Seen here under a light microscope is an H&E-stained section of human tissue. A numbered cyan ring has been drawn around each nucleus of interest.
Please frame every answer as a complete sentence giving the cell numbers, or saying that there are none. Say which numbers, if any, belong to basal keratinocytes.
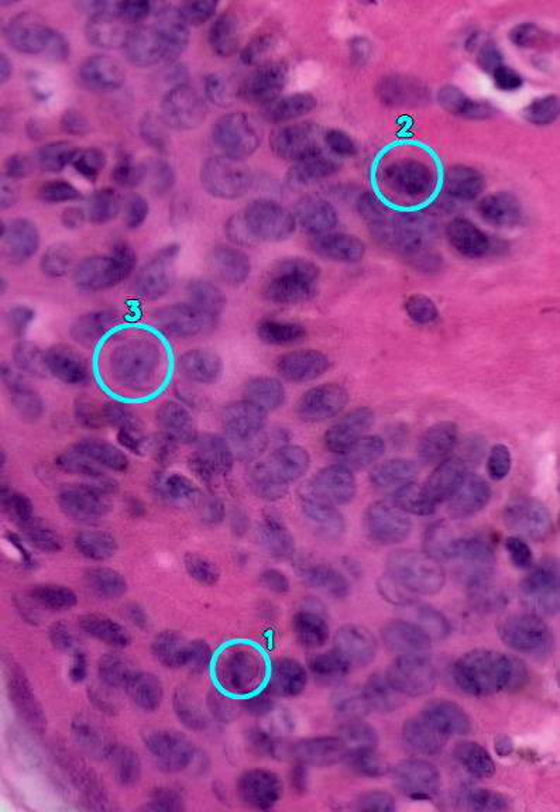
Each of the cells numbered 1 and 2 is among the basal keratinocytes.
